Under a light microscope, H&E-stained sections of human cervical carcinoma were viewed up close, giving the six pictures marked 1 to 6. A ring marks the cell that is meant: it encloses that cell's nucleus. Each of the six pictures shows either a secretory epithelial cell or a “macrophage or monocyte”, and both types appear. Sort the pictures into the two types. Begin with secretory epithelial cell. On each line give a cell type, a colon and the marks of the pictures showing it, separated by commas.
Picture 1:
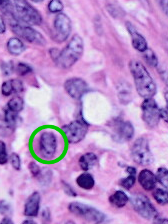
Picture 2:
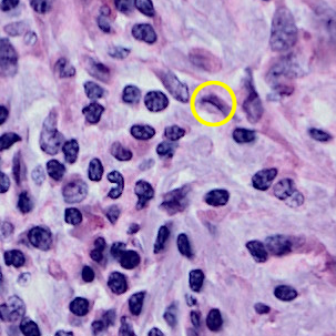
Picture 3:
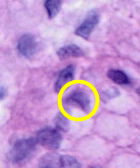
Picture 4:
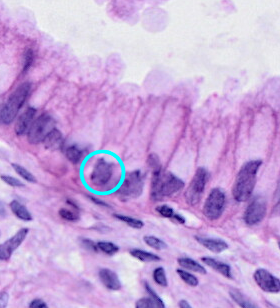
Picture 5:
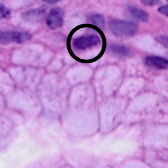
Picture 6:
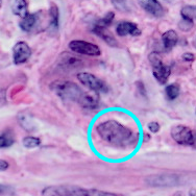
secretory epithelial cell: 3, 4, 5
macrophage or monocyte: 1, 2, 6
